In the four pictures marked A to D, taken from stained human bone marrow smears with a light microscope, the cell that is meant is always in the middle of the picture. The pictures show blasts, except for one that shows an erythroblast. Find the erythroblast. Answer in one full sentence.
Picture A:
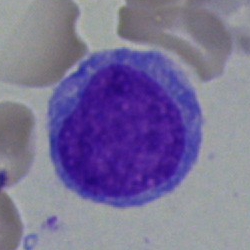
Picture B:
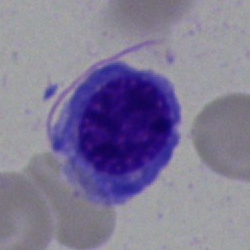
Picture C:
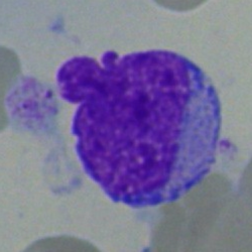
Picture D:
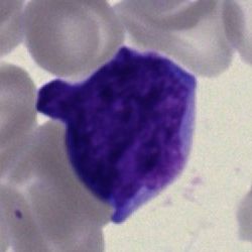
It is picture B that shows the erythroblast.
